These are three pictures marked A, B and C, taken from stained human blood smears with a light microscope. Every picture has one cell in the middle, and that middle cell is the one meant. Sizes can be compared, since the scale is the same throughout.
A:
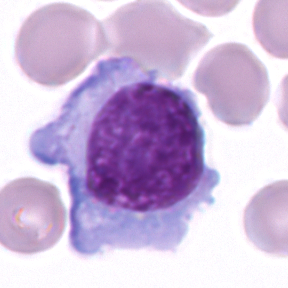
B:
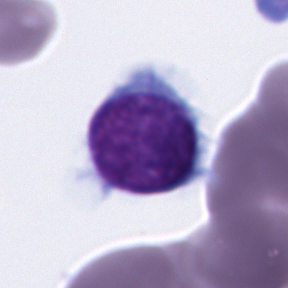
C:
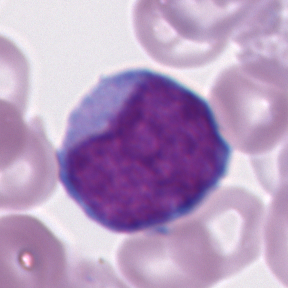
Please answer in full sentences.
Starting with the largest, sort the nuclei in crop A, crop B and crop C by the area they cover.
The order is C, A, B, beginning with the largest.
